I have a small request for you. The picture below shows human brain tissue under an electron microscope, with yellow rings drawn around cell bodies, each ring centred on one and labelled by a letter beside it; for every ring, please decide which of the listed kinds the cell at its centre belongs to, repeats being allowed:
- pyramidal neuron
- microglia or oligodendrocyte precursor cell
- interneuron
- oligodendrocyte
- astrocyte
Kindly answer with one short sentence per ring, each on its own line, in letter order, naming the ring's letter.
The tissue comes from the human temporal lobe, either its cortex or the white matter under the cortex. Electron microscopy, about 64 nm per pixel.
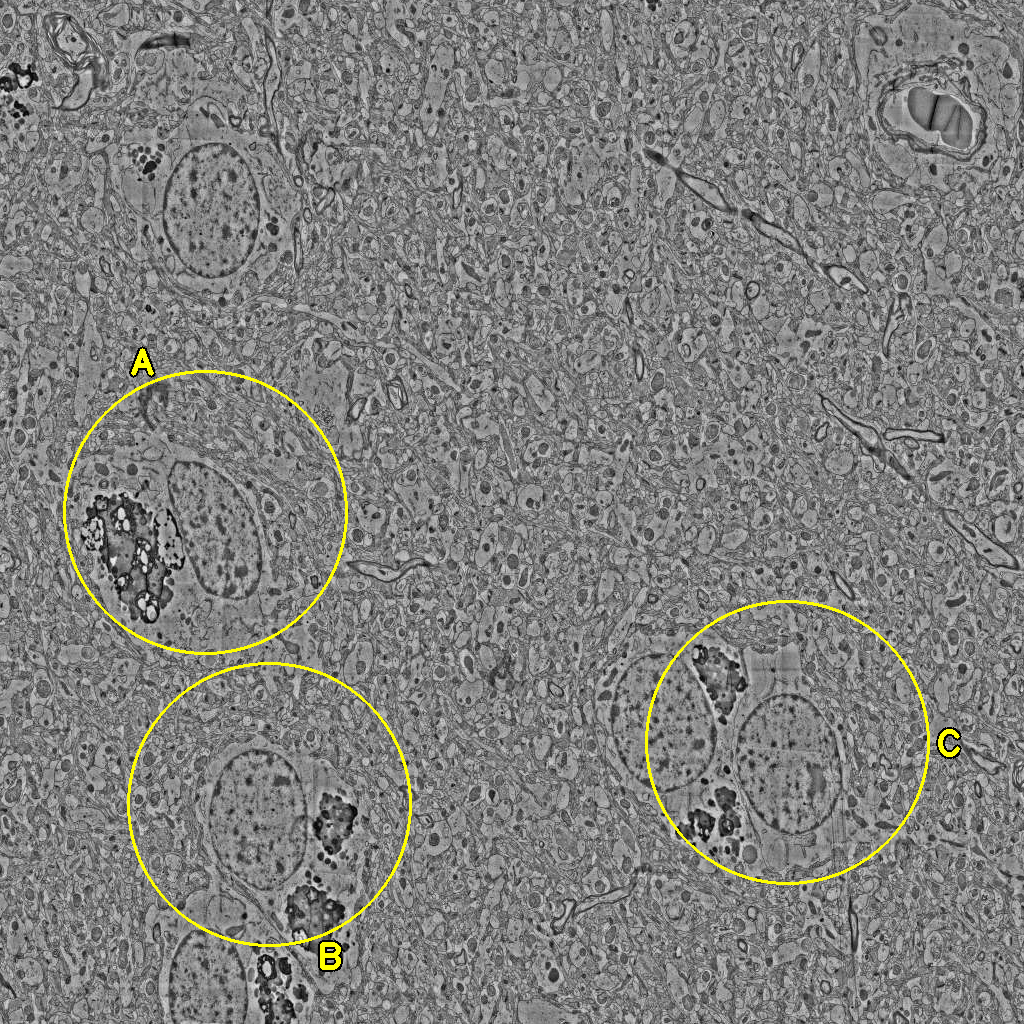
Ring A shows an astrocyte at its centre.
Ring B shows an astrocyte at its centre.
Ring C shows an astrocyte at its centre.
